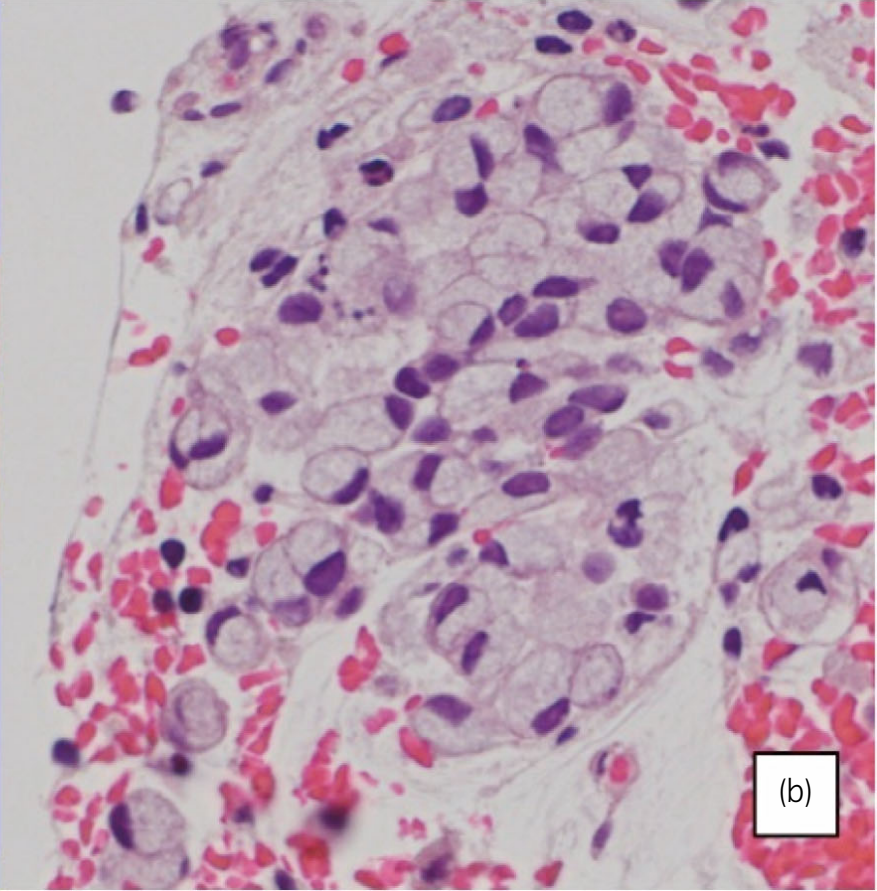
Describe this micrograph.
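This is a loose cluster of tumor cells with signet-ring cell form, lying among scattered red blood cells. Each cell is round to oval with abundant pale, finely bubbly cytoplasm filling most of its volume. The dark purple nucleus is displaced to the edge of the cell and is often compressed into a crescent against the cell membrane. Some of these cells also lie singly or in small groups at the margins of the cluster.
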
